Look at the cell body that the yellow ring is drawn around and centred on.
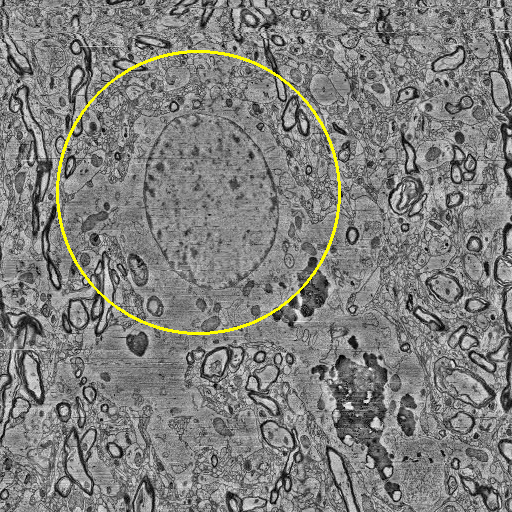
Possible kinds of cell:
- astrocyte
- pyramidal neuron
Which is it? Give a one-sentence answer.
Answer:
The centred cell body is that of an astrocyte.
